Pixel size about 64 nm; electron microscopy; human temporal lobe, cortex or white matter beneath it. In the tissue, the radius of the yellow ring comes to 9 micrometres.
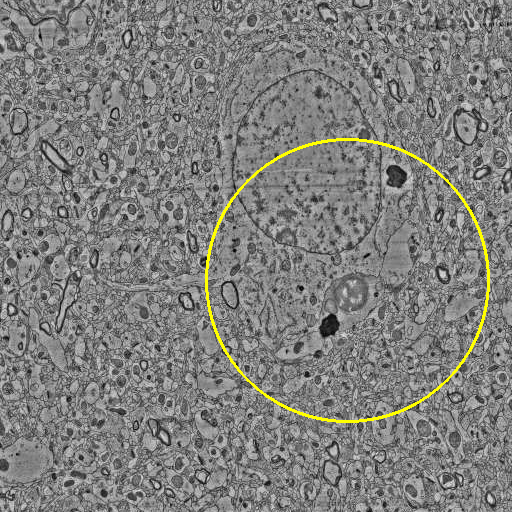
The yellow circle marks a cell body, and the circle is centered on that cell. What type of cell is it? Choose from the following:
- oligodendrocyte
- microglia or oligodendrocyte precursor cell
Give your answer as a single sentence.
This cell body belongs to an oligodendrocyte.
